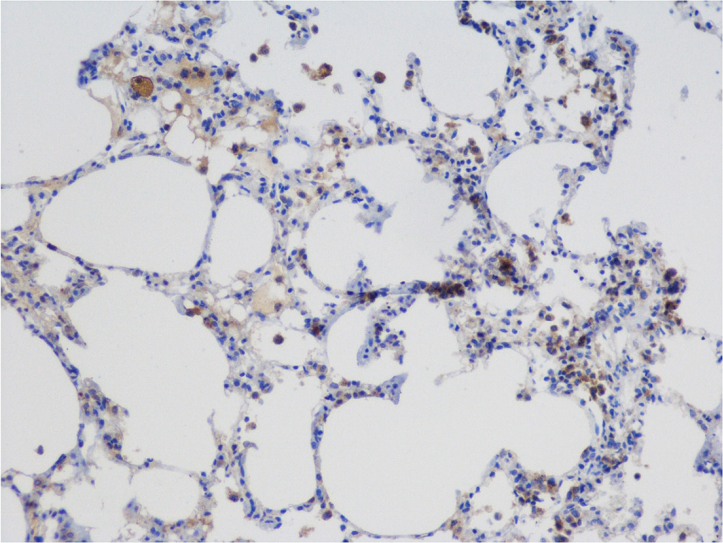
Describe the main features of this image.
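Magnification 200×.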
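Lung tissue with enlarged, irregular alveolar spaces bounded by thin septa, next to areas of thickened, cell-rich interstitium. Rounded cells with strong brown cytoplasm lie free within the air spaces, one large one near the upper left. Clusters of brown-stained cells gather in the thickened septa, mixed with many small blue nuclei. Most nuclei elsewhere are blue and unstained.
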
